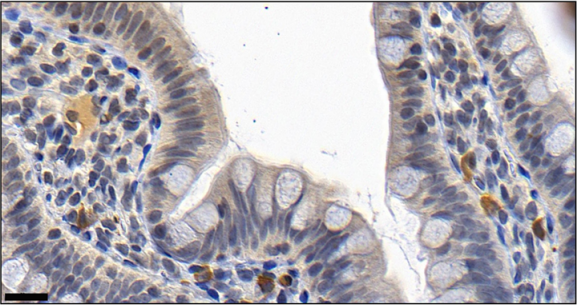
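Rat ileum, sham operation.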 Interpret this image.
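Intestinal villi lined by a single layer of tall columnar epithelium with basally placed, elongated blue nuclei and light brown cytoplasm, interrupted by pale, rounded mucus-filled cells. The villus cores hold loose connective tissue with many small scattered nuclei, among which a few cells are strongly brown.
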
